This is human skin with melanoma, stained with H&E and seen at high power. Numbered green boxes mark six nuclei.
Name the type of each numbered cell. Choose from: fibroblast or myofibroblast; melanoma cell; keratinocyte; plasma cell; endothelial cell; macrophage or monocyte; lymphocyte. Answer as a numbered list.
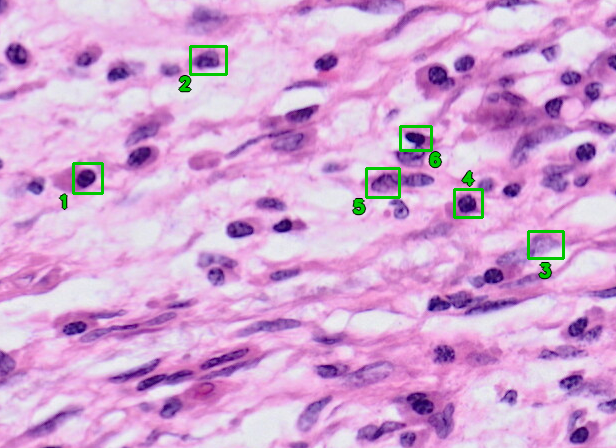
1. plasma cell
2. macrophage or monocyte
3. fibroblast or myofibroblast
4. plasma cell
5. macrophage or monocyte
6. plasma cell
